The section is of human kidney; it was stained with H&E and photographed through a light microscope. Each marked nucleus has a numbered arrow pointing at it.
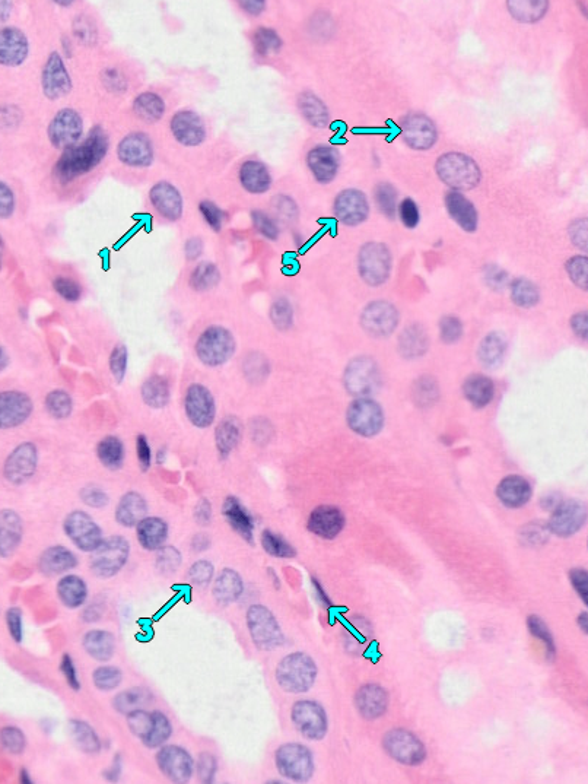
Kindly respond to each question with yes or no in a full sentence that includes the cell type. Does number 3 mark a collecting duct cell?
Yes, the marked cell number 3 is a collecting duct cell.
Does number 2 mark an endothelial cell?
No, cell 2 does not represent an endothelial cell; it represents a proximal tubule cell.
